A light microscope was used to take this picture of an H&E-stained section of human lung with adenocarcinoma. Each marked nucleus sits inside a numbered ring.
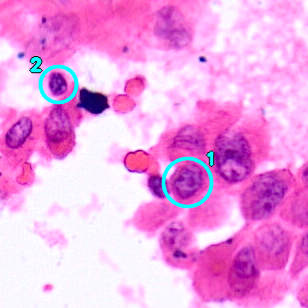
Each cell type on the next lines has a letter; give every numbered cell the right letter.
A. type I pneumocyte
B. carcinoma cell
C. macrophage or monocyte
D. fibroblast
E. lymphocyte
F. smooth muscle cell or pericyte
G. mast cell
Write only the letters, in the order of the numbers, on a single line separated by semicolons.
B; E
